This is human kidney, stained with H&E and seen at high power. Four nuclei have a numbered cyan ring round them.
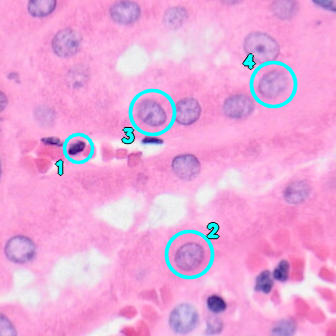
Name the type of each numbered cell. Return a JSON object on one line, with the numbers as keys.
{"1": "endothelial cell", "2": "proximal tubule cell", "3": "proximal tubule cell", "4": "proximal tubule cell"}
